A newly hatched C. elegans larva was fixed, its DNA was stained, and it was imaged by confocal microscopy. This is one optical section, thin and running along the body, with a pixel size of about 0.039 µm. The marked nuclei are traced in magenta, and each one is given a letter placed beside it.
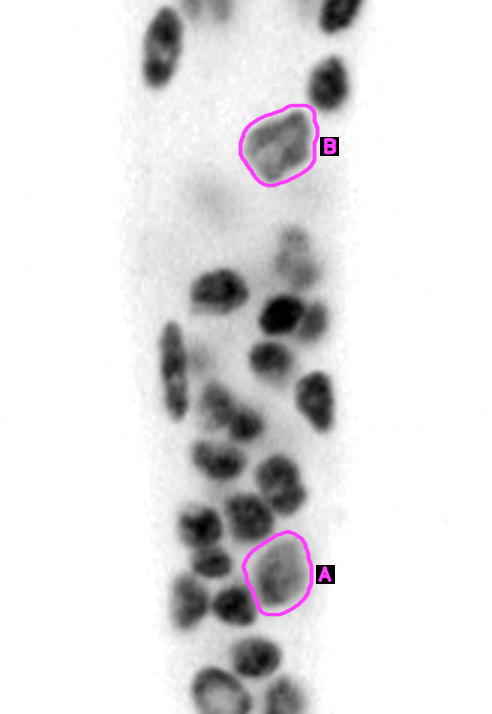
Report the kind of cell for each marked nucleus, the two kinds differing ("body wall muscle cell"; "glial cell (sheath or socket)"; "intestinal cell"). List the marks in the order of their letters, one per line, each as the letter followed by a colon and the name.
A: body wall muscle cell
B: intestinal cell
